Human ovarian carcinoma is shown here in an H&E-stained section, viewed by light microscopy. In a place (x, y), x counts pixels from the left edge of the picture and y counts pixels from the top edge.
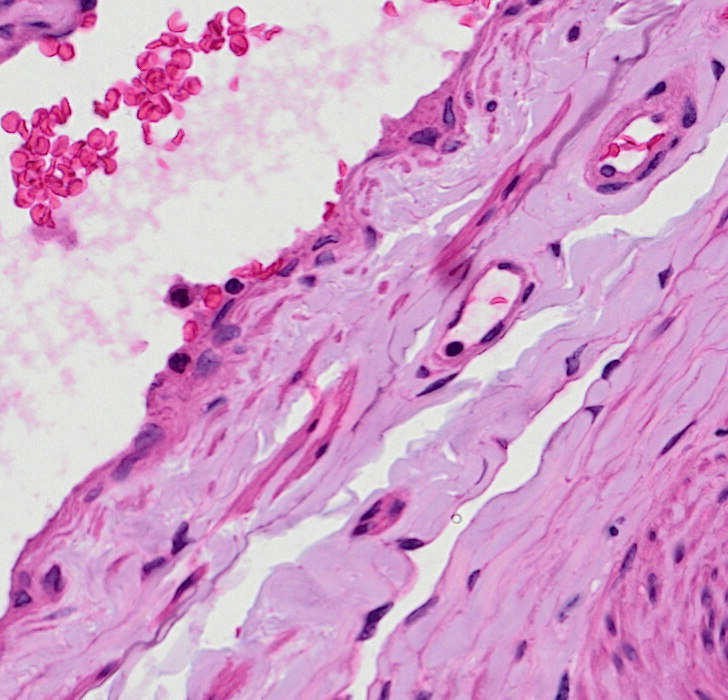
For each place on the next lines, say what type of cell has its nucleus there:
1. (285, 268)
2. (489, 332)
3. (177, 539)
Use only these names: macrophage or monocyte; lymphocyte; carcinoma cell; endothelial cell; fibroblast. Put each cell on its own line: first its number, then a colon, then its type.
1: endothelial cell
2: endothelial cell
3: fibroblast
